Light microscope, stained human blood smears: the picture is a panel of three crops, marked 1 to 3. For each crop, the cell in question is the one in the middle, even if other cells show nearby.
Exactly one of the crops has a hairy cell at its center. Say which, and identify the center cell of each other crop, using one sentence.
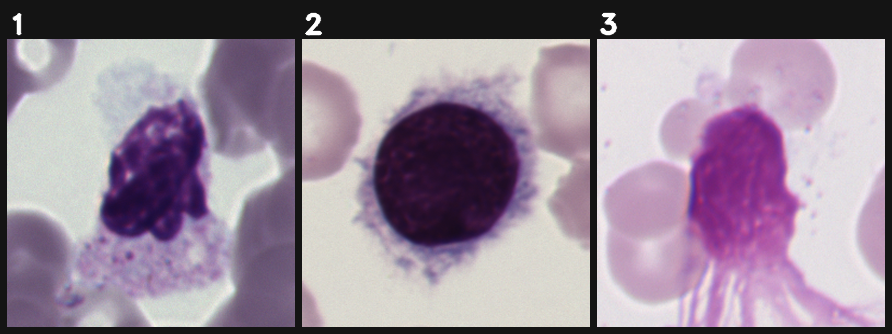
Identified in crop 2 is a hairy cell, whereas crop 1 is a segmented neutrophil and crop 3 is a smudge cell.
